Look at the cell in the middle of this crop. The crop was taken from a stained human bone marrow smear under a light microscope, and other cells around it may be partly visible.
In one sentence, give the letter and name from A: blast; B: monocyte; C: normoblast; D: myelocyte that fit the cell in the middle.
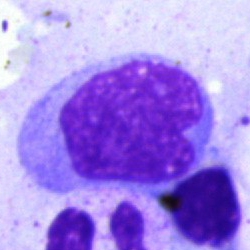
The central cell of the crop is a monocyte, which makes B the correct option.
